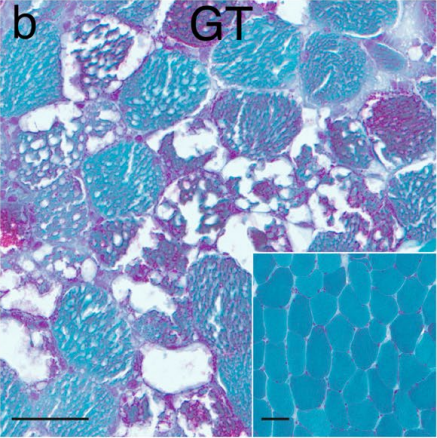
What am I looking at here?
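Transverse section of skeletal muscle fibers stained blue-green, with many vacuolated fibers showing clear empty spaces. Red-purple granular material accumulates within and around vacuolated fibers, in some fibers filling much of the cross-section, especially toward the right edge. Less vacuolated fibers stay fairly uniformly blue-green with fine pale flecks.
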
